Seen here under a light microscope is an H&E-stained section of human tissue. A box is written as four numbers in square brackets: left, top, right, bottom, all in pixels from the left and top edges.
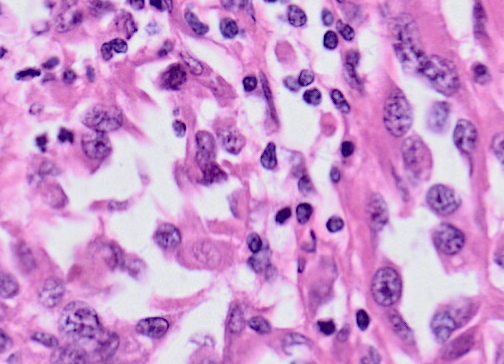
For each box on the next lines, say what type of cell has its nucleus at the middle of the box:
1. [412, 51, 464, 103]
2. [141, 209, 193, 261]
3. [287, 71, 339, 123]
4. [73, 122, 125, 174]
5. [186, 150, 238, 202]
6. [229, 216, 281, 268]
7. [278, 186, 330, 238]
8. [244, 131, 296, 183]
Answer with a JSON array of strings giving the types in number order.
["melanoma cell", "melanoma cell", "lymphocyte", "melanoma cell", "melanoma cell", "lymphocyte", "lymphocyte", "lymphocyte"]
